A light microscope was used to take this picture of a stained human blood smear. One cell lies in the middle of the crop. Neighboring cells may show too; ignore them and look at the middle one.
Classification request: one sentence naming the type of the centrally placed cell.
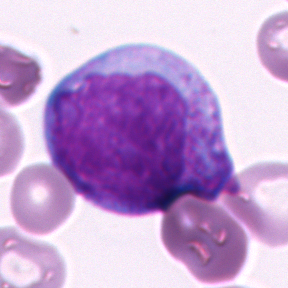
The crop centres on a single cell, and that cell is an atypical promyelocyte.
